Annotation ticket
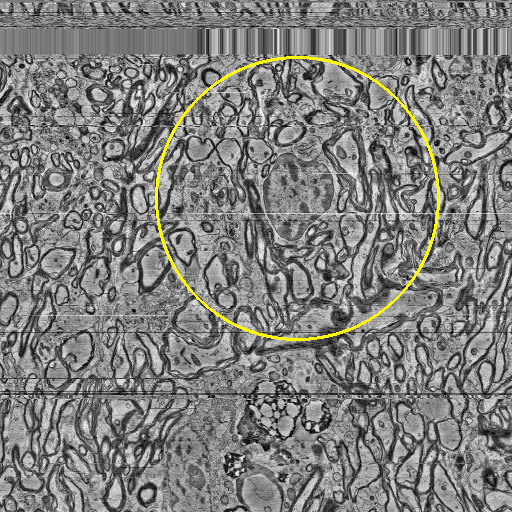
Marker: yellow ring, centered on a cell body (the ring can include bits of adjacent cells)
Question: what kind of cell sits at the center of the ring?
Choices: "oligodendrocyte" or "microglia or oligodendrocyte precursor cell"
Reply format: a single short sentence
The ring is centered on a microglial cell or oligodendrocyte precursor cell.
